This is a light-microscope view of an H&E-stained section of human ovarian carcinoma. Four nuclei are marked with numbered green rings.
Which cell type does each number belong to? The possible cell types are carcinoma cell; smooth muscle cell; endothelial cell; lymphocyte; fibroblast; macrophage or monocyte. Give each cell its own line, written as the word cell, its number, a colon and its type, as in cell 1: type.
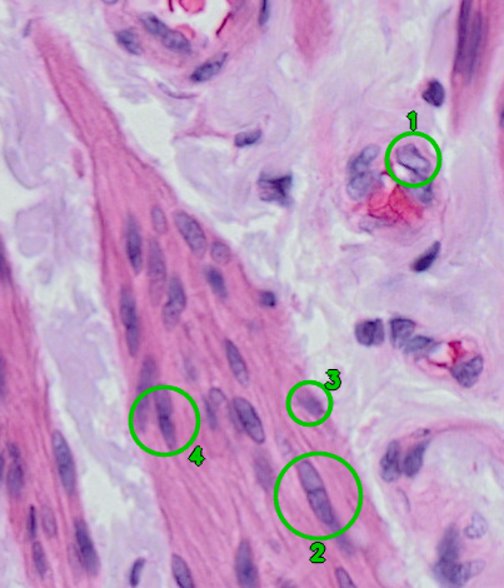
cell 1: endothelial cell
cell 2: smooth muscle cell
cell 3: smooth muscle cell
cell 4: smooth muscle cell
